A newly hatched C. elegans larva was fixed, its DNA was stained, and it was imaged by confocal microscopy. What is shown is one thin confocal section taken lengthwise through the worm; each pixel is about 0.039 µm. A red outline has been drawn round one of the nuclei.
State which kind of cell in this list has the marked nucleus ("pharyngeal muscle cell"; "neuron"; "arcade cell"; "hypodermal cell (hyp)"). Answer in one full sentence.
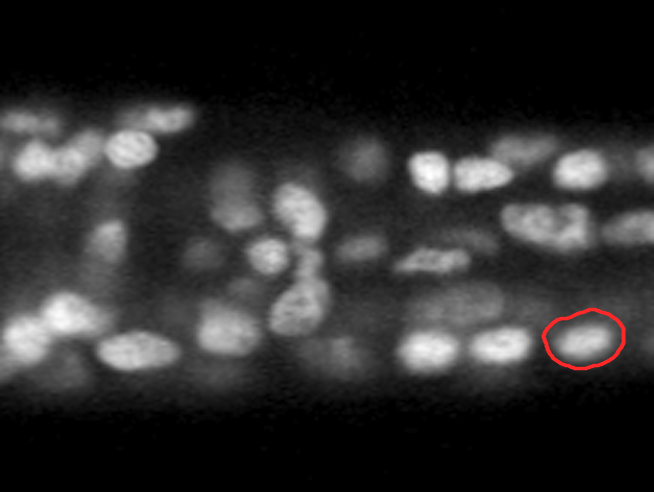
The marked nucleus belongs to an arcade cell.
